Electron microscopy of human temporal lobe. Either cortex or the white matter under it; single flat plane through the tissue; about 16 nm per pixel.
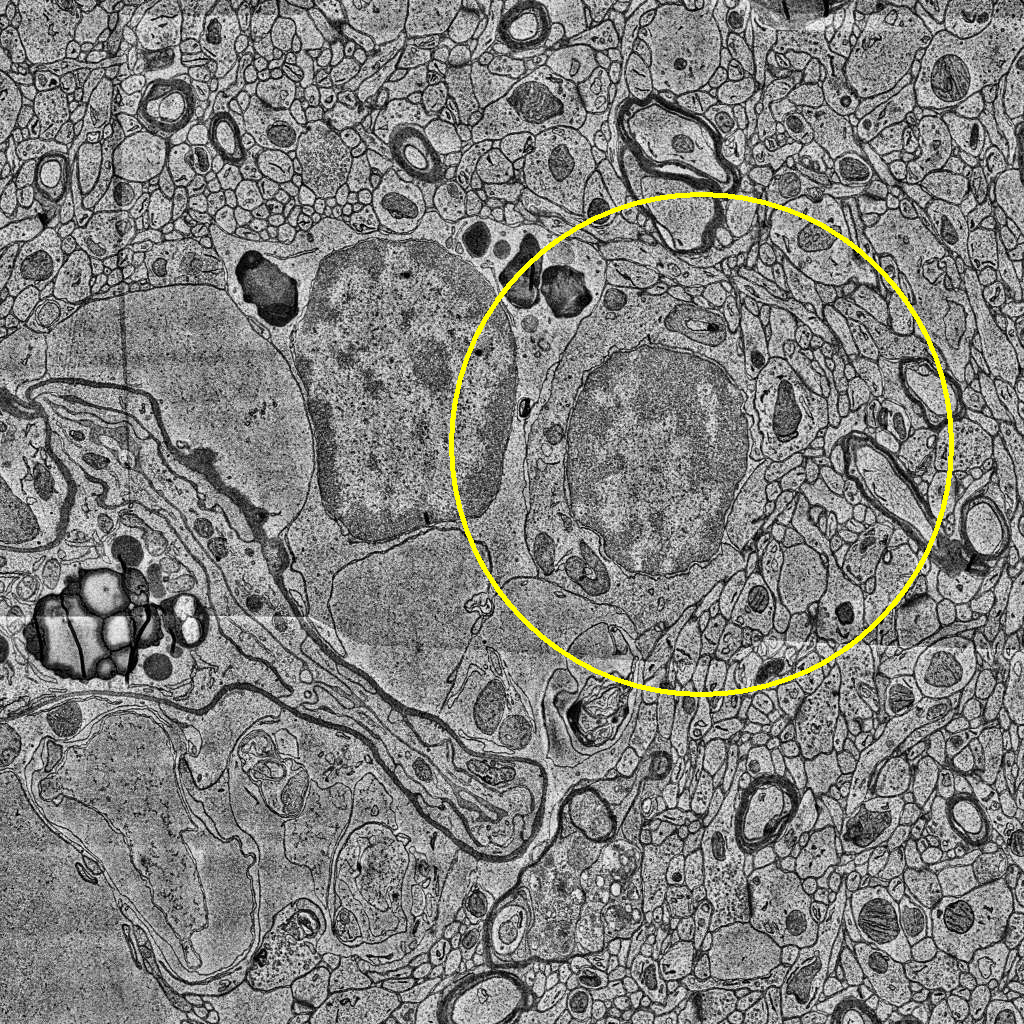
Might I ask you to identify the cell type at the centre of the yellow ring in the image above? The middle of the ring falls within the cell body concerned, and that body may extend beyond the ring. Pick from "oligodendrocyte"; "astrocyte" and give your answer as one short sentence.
The centre of the ring falls on an oligodendrocyte.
